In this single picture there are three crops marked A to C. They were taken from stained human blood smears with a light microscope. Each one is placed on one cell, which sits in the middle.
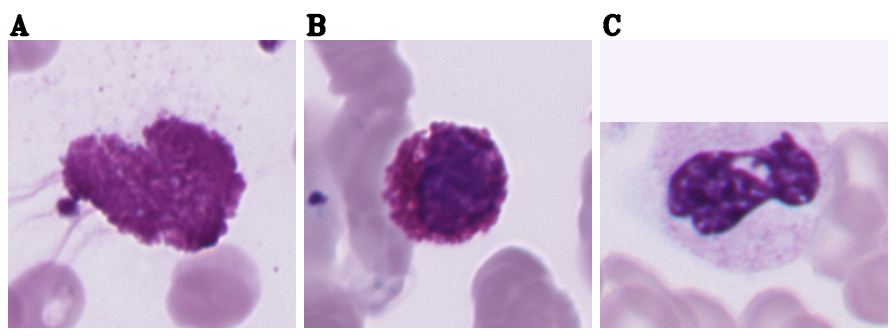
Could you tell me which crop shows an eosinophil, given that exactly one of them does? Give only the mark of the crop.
B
